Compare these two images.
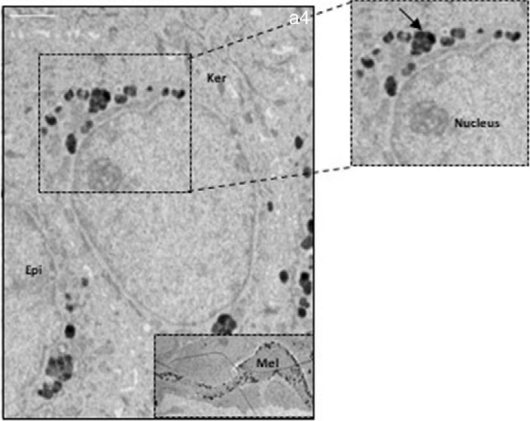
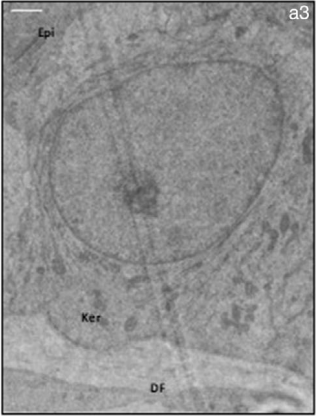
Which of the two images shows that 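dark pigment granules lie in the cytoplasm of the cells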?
The first image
